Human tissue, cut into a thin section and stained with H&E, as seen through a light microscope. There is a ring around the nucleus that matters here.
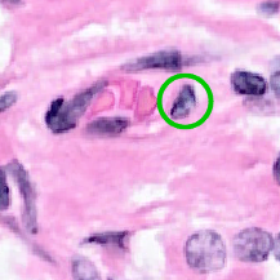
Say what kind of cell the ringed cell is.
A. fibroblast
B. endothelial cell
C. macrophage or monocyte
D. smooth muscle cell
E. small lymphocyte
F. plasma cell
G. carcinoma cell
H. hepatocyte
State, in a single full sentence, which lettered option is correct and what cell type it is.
Option B correctly labels the ringed cell as an endothelial cell.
